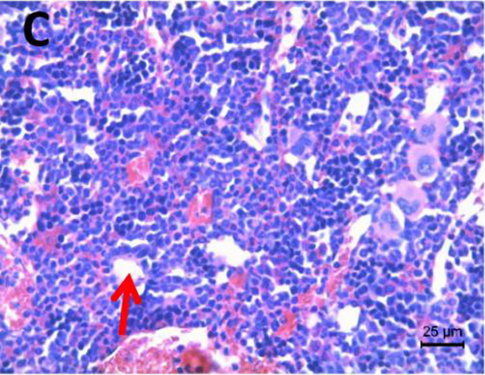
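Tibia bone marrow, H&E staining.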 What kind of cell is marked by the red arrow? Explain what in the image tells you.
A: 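Adipocytes. The arrow points to a small clear, empty-looking round space. The space lies within densely packed cells with dark purple nuclei.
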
